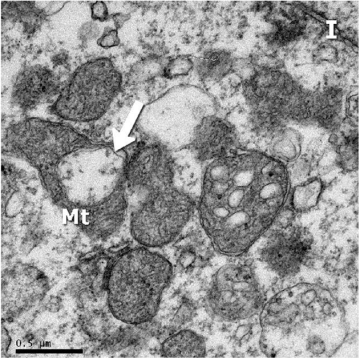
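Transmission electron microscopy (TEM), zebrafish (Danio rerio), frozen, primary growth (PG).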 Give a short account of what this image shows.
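This shows the cytoplasm of an oocyte with swollen mitochondria. Many of the mitochondria are rounded and bloated, with pale clear spaces opening up inside them between the cristae, and the surrounding cytoplasm is pale and loose with scattered small membrane-bound vesicles.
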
